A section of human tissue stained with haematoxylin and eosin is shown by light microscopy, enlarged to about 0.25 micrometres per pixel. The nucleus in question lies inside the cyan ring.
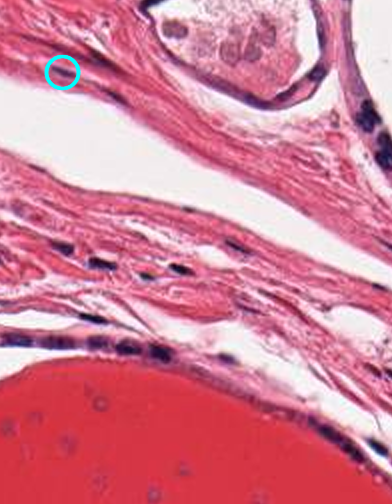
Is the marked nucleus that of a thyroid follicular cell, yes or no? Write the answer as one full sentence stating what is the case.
No, the marked nucleus is not borne by a thyroid follicular cell; it is borne by a supporting cell.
